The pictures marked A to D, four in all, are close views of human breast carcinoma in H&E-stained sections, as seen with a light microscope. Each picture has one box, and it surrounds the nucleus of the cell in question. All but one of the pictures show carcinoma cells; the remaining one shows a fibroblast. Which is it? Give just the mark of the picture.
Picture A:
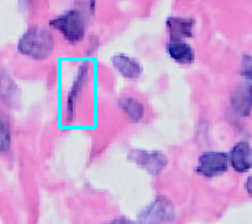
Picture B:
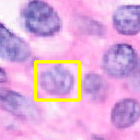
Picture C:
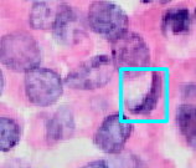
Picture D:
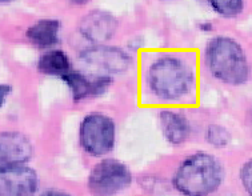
A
